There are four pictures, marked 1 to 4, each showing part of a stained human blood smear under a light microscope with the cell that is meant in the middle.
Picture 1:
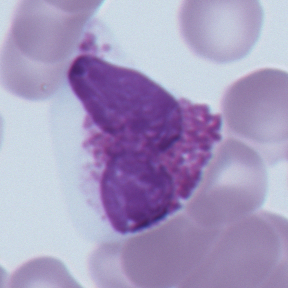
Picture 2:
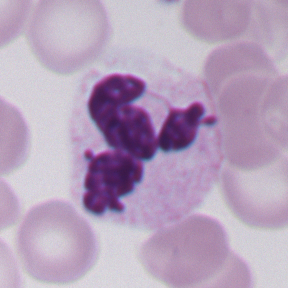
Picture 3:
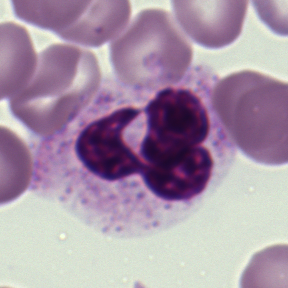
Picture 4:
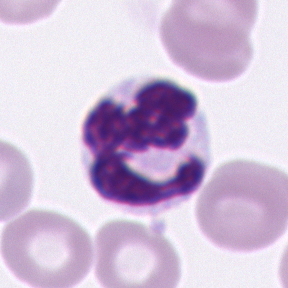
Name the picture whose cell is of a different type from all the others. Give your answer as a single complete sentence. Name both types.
Picture 1 is the odd one out: it shows an eosinophil, while the others show segmented neutrophils.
